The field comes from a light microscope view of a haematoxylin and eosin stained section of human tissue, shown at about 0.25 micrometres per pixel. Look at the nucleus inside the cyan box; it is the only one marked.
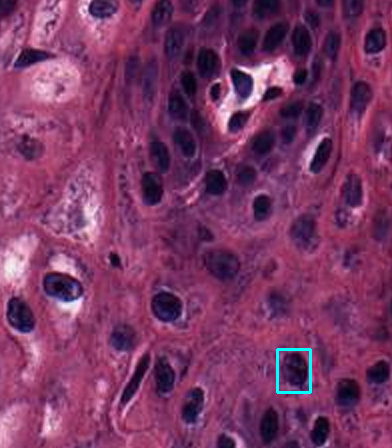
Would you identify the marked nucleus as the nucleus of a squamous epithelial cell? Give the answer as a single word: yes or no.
yes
